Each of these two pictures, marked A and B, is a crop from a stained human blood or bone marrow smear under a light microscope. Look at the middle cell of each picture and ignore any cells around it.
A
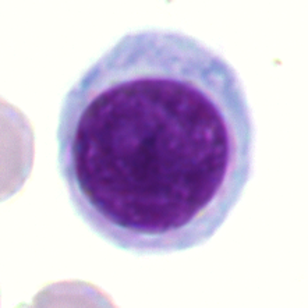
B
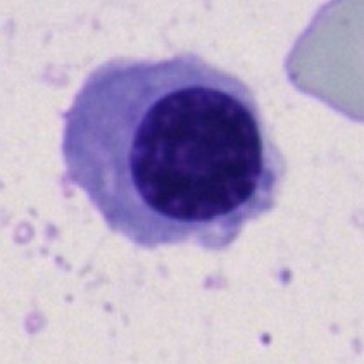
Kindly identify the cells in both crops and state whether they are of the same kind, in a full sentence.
No, crop A displays a plasma cell and crop B displays an erythroblast.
